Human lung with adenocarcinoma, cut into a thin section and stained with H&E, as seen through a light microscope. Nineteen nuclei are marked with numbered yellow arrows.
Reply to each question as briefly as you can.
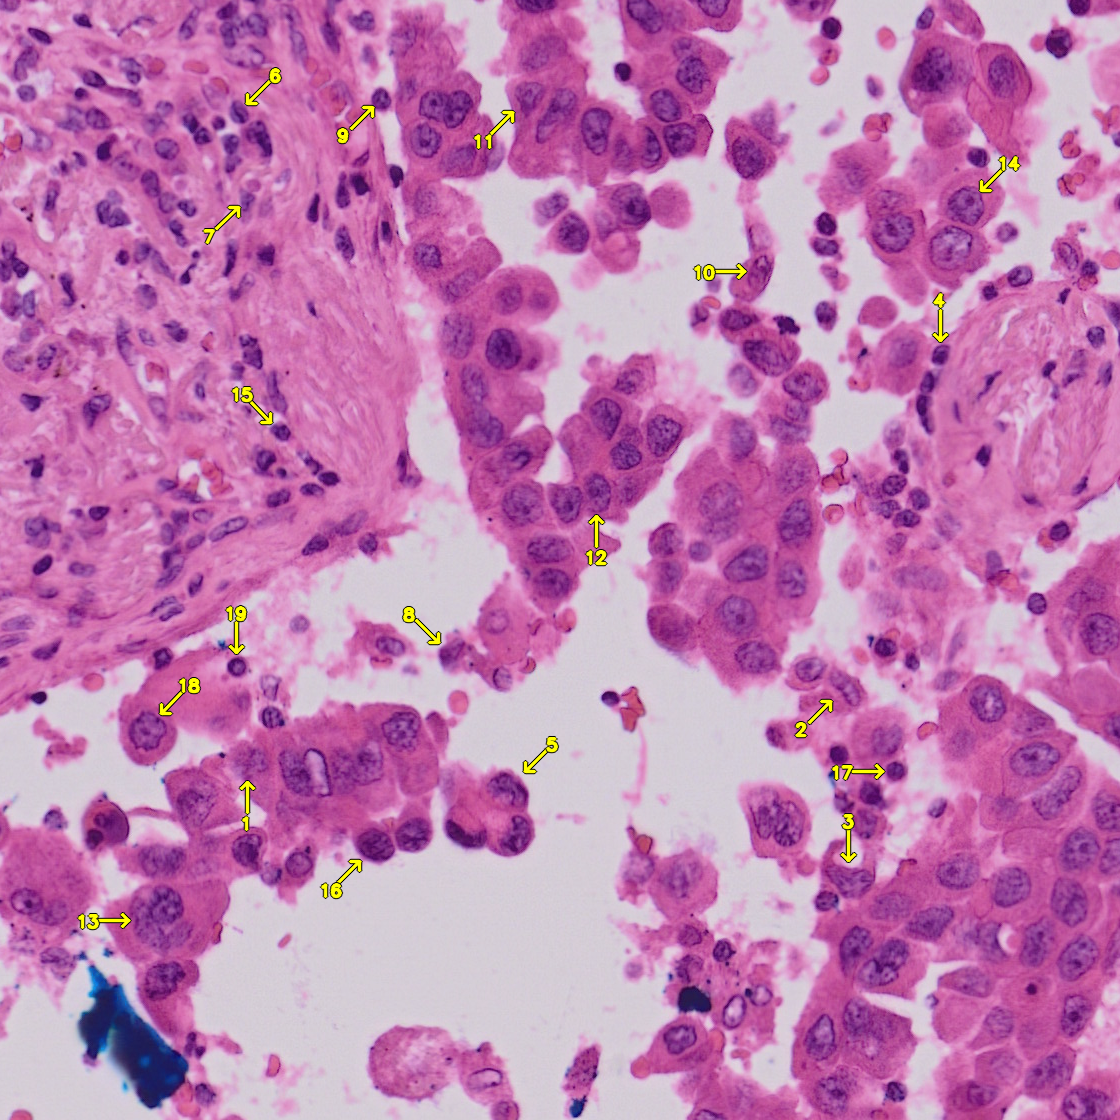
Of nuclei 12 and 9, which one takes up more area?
12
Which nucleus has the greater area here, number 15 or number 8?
8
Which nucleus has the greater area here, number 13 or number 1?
13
